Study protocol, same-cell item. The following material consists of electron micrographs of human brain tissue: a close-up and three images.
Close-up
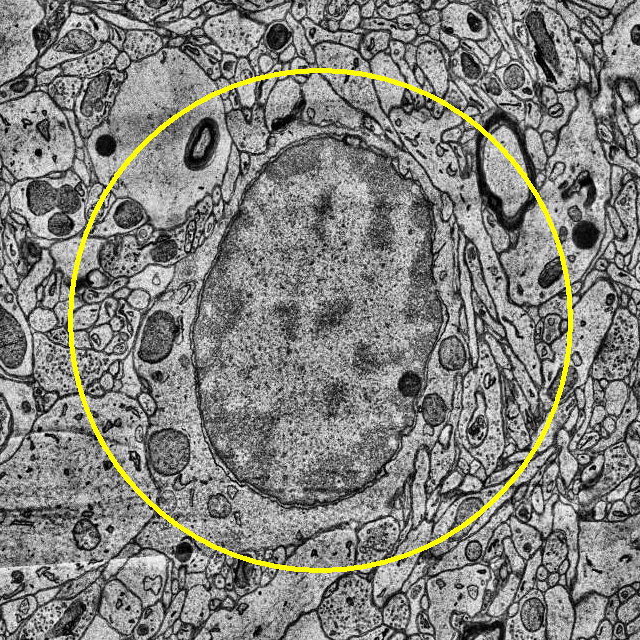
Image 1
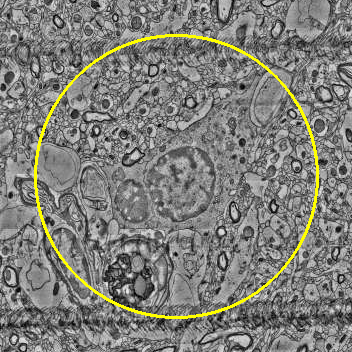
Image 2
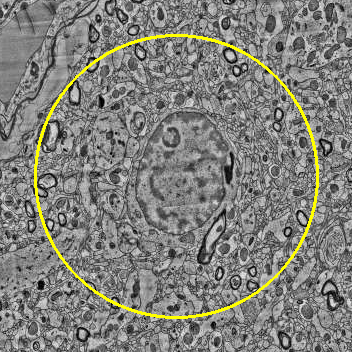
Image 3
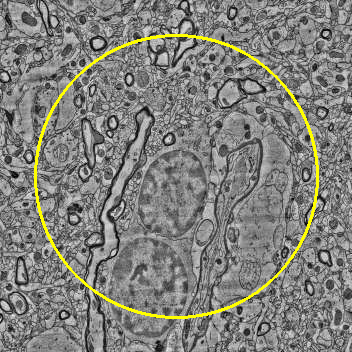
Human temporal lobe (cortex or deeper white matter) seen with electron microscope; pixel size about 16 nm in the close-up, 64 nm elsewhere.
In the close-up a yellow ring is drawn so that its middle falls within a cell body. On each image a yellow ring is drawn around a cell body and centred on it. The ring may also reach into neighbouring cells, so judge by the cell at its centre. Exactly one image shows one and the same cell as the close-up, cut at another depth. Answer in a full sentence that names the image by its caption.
The enlargement corresponds to the cell circled in Image 2.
